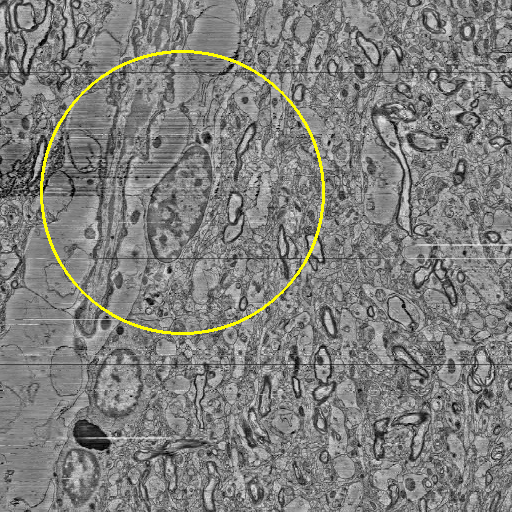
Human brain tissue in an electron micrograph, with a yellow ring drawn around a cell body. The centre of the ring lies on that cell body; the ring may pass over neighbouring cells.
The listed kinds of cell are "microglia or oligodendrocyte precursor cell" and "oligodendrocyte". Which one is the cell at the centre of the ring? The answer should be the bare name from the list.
microglia or oligodendrocyte precursor cell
